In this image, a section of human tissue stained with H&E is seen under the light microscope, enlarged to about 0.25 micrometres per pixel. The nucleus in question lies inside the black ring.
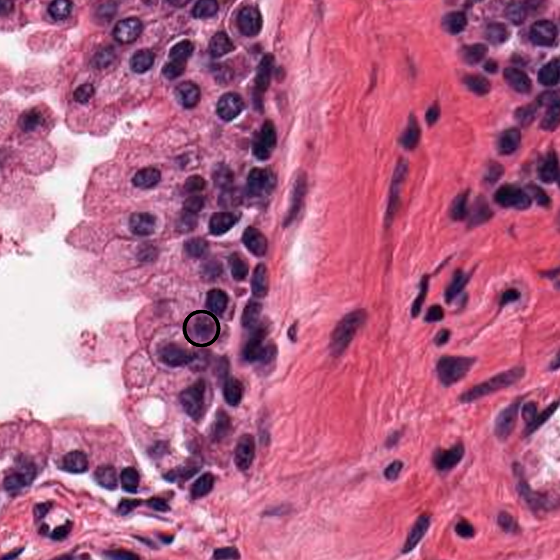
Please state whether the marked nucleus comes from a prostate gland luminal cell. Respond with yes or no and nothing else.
yes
